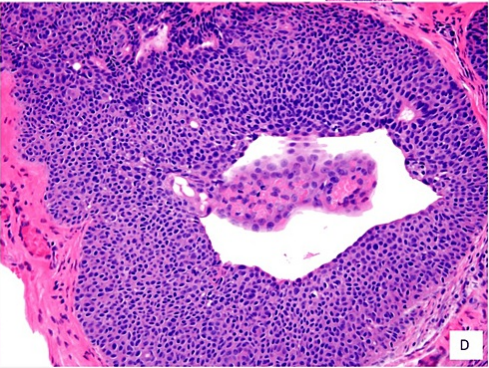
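A nest of tumor made of closely packed, uniform small epithelial cells with round to oval dark purple nuclei and scant pale cytoplasm. In the centre of the nest lies a sharply outlined clear lumen, inside which floats a small cluster of larger cells with more abundant pink cytoplasm. The nest is bordered by a thin rim of pink fibrous stroma with scattered elongated nuclei.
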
